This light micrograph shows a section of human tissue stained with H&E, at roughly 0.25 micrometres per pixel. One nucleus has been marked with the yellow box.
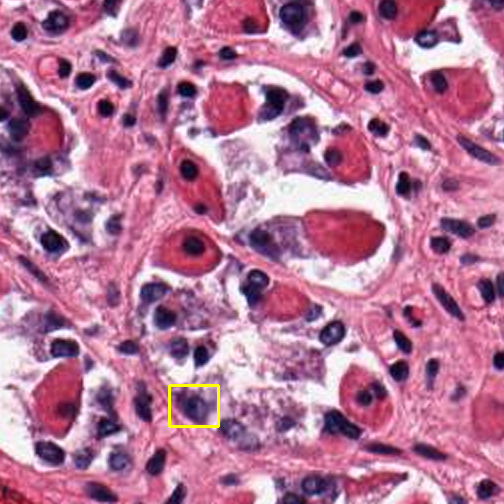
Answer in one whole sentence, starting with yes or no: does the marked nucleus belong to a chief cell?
Yes, the marked nucleus is the nucleus belonging to a chief cell.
